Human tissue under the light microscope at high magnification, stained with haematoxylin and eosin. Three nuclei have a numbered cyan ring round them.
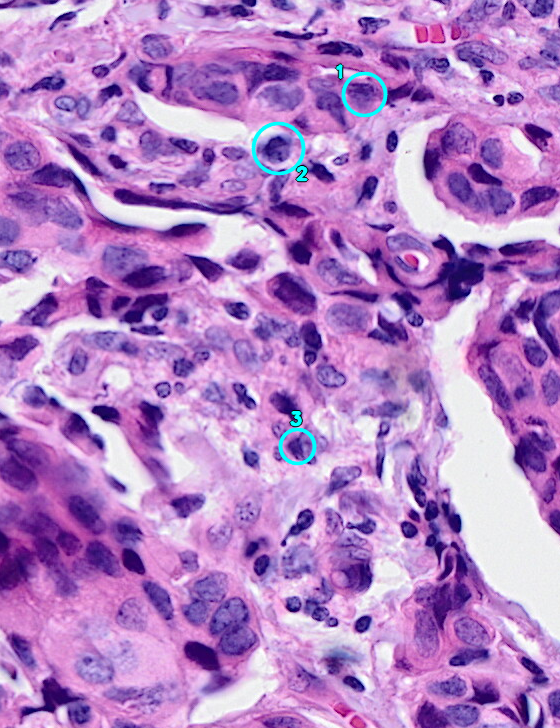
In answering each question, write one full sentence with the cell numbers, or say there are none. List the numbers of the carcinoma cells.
When it comes to cells 1 and 2, they are carcinoma cells.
